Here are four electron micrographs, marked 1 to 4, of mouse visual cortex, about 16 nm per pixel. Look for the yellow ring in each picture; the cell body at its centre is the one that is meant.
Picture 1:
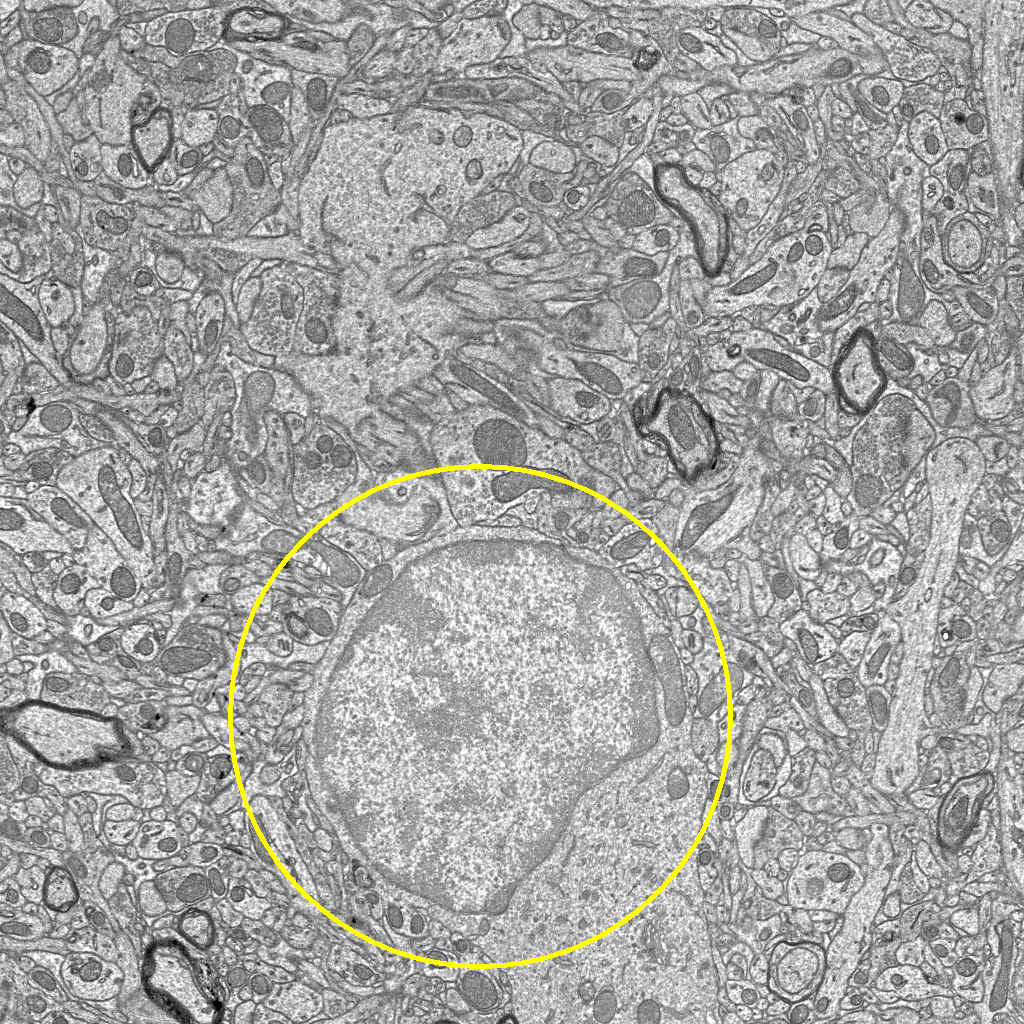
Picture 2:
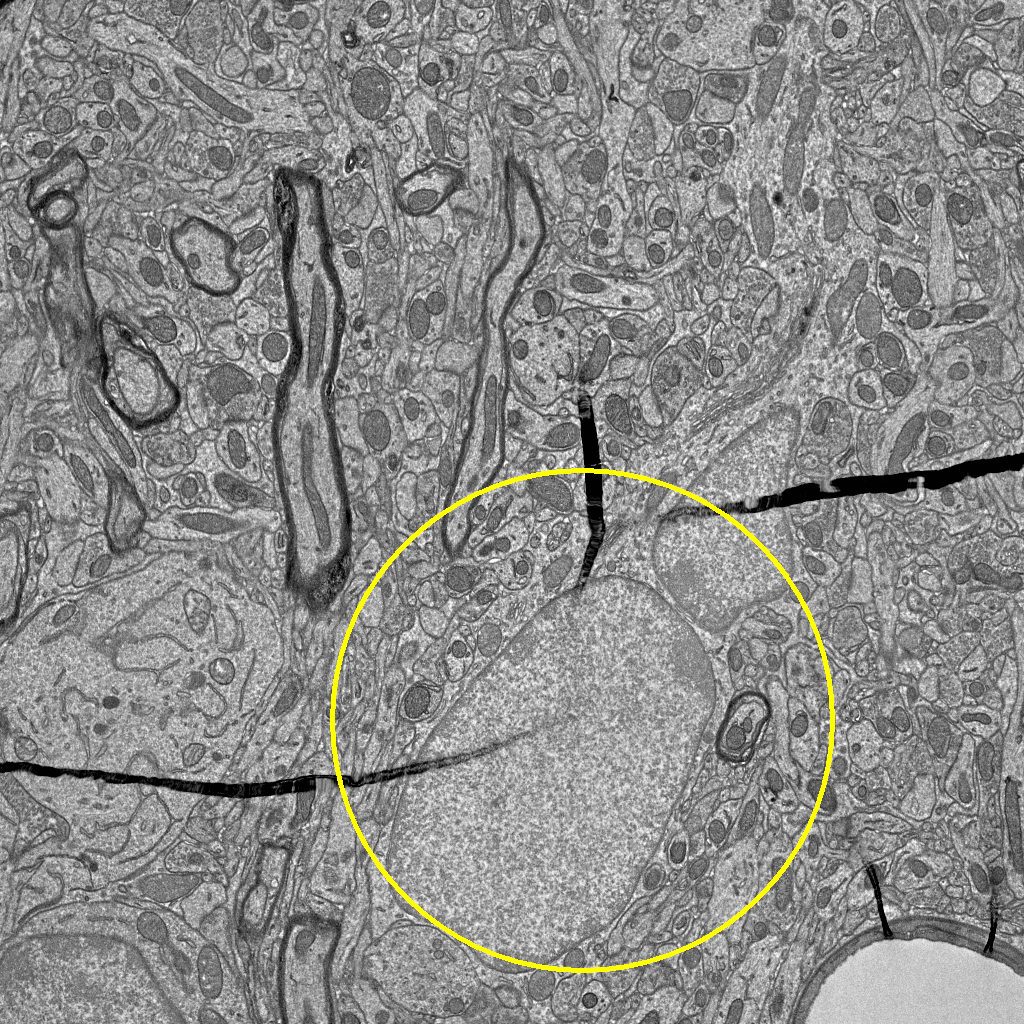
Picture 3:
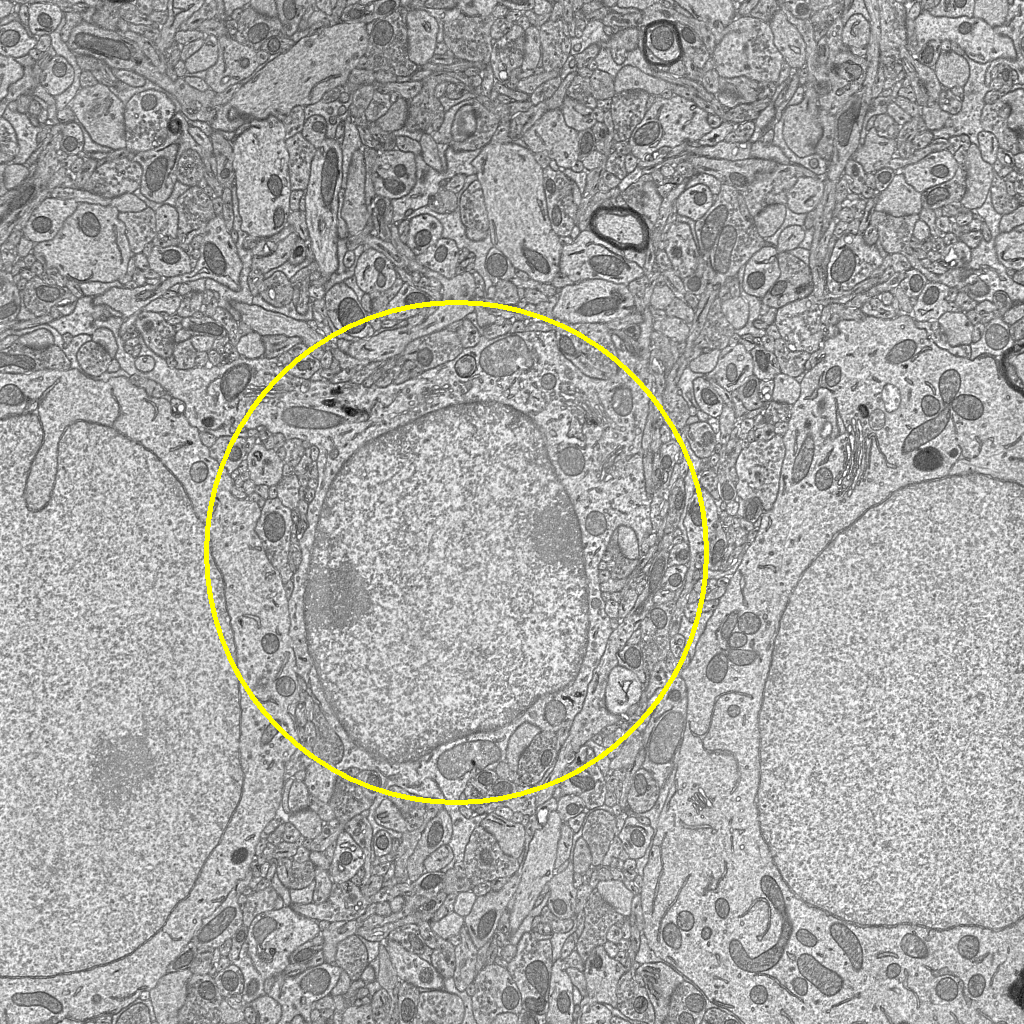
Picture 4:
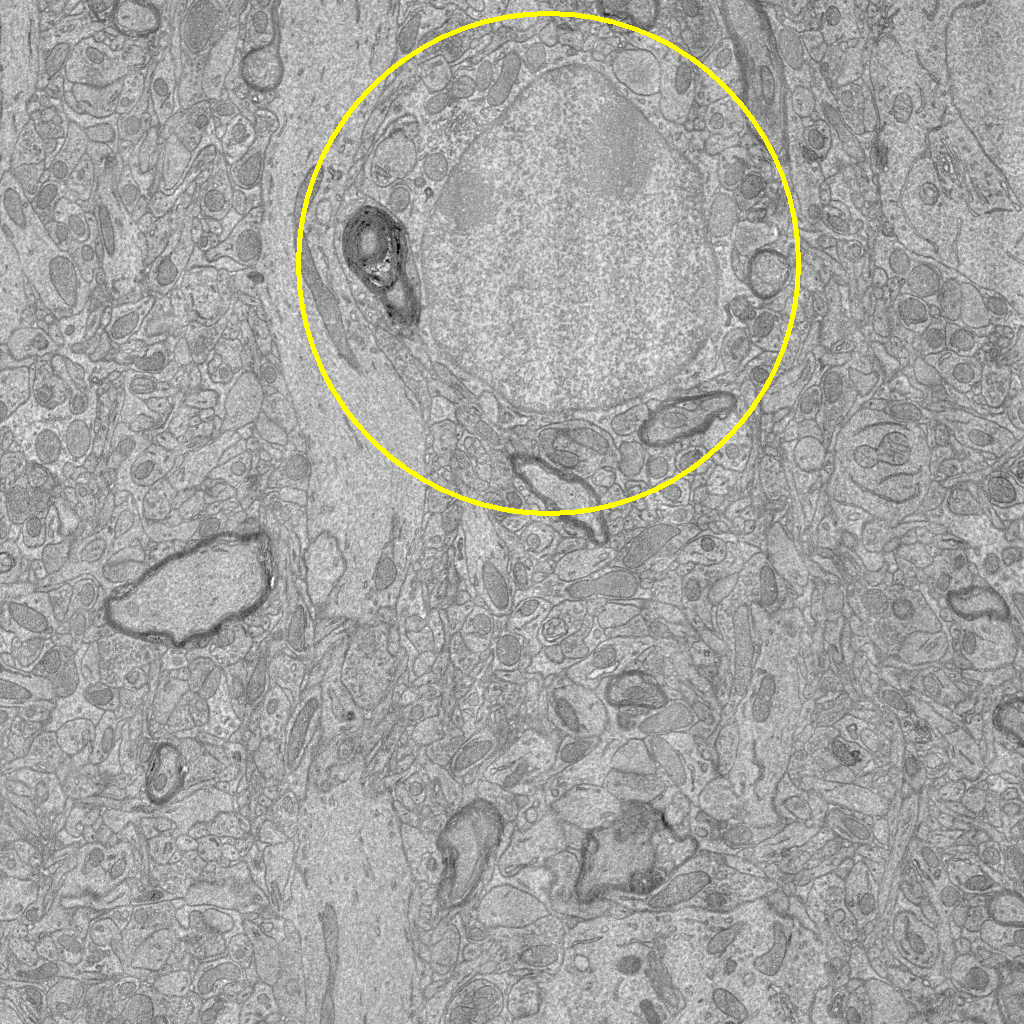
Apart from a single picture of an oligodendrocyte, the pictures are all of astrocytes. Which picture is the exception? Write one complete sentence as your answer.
It is picture 1 that shows the oligodendrocyte.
